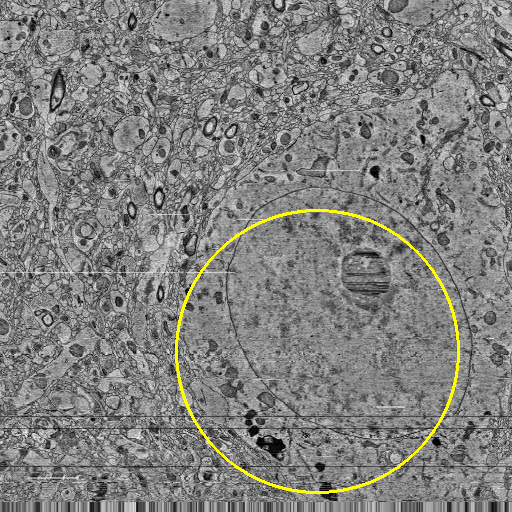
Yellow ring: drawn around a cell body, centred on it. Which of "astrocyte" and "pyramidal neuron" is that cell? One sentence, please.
That cell body is from a pyramidal neuron.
